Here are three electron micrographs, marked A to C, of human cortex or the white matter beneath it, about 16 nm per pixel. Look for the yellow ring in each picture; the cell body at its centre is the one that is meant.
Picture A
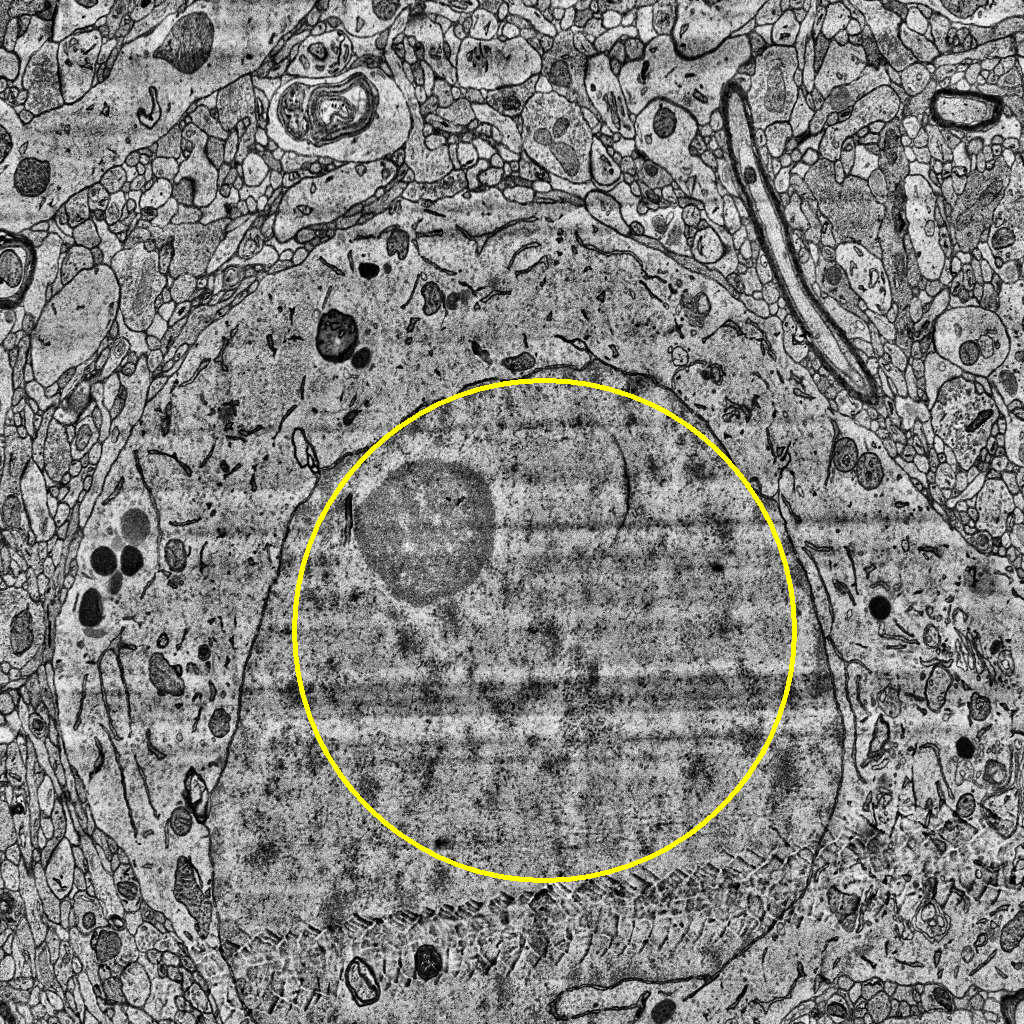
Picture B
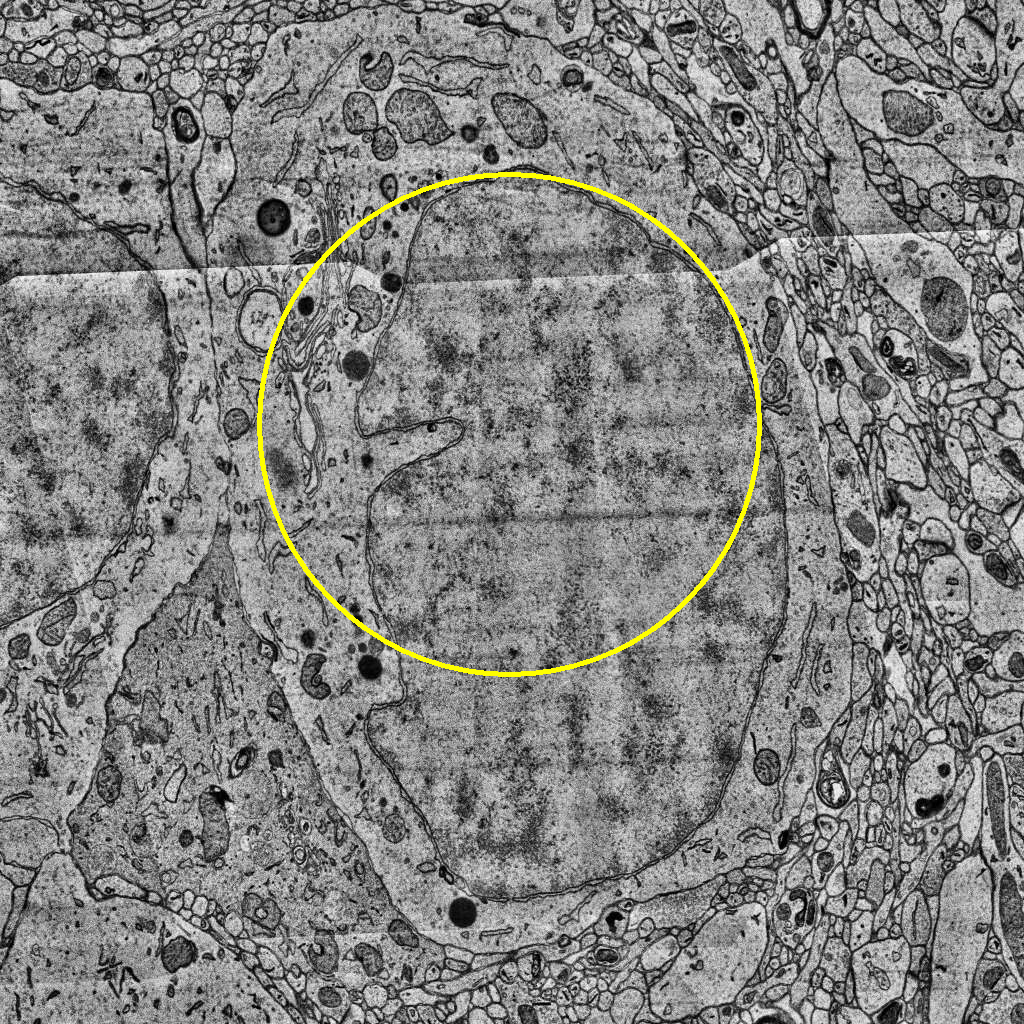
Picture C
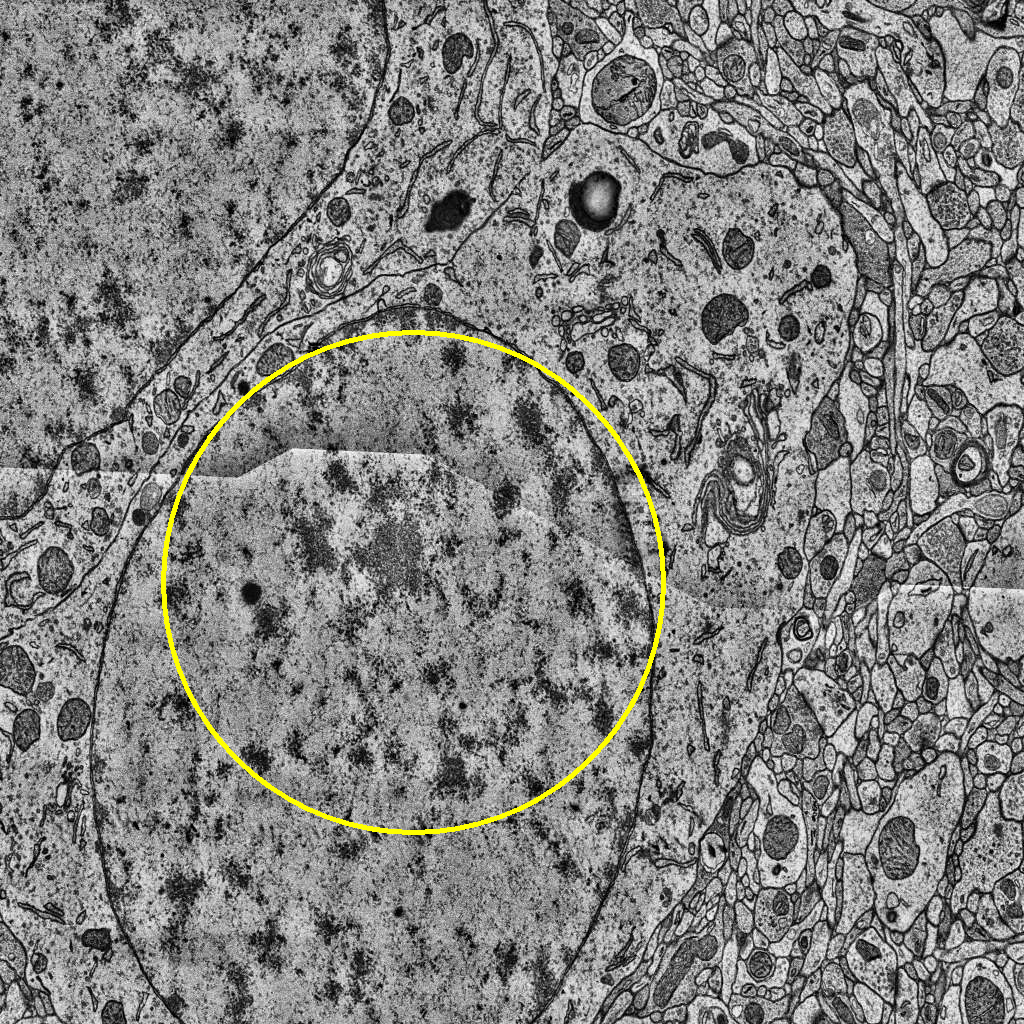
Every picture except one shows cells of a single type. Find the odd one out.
Unlike the rest, which show pyramidal neurons, picture B shows an interneuron.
